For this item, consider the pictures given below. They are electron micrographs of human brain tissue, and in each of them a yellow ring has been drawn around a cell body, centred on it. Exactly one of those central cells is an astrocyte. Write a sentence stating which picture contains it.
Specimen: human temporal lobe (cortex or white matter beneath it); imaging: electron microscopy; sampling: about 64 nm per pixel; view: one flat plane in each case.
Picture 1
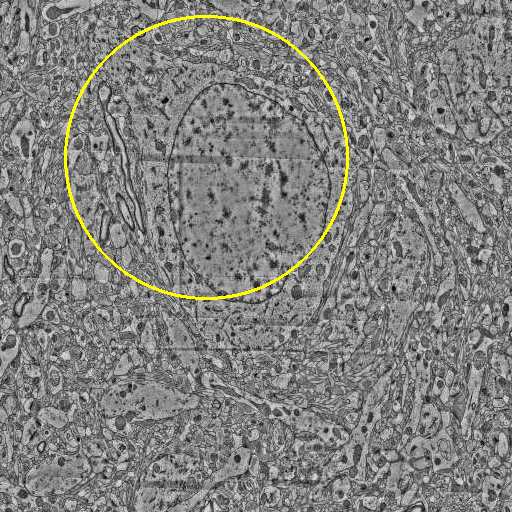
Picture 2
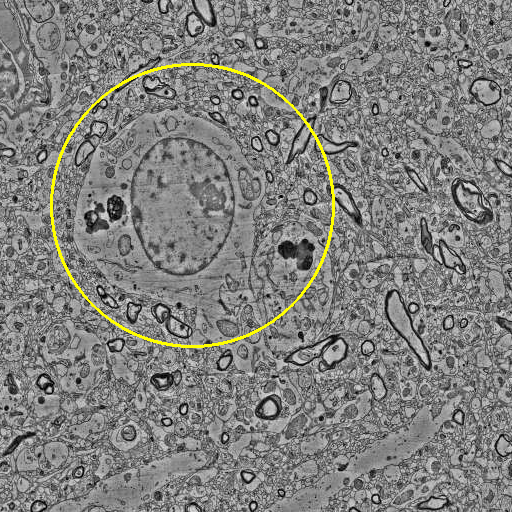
It is in Picture 2.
